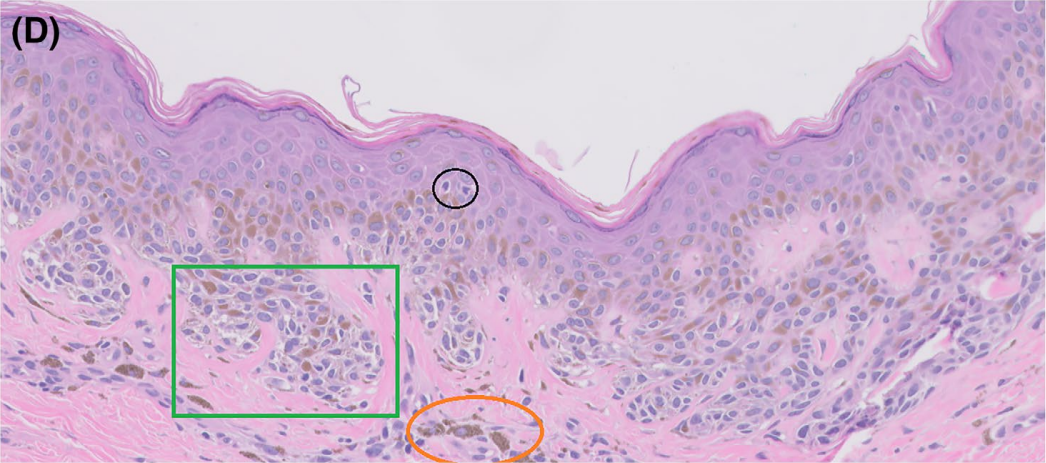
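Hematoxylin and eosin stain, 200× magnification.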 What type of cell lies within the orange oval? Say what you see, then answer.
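Their cytoplasm is packed with coarse brown granules. The answer: macrophages containing brown melanin pigment.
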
